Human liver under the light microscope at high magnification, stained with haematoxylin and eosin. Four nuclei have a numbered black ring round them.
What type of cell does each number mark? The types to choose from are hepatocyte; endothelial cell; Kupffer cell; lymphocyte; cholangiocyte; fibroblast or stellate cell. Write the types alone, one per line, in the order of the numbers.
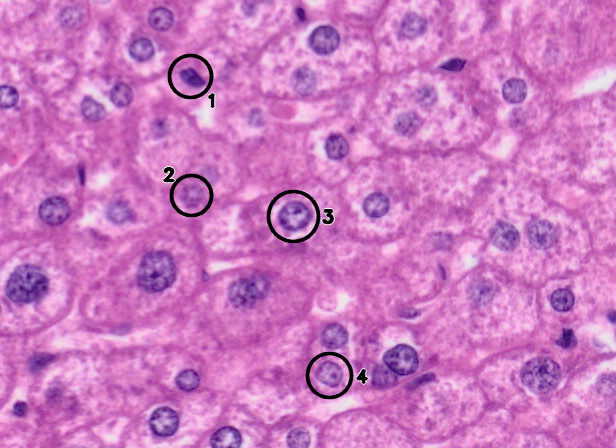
fibroblast or stellate cell
hepatocyte
hepatocyte
hepatocyte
